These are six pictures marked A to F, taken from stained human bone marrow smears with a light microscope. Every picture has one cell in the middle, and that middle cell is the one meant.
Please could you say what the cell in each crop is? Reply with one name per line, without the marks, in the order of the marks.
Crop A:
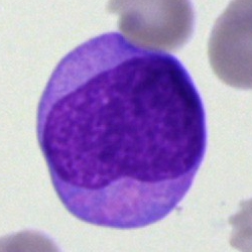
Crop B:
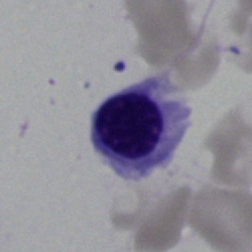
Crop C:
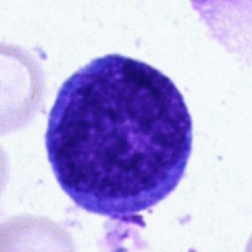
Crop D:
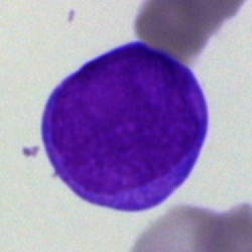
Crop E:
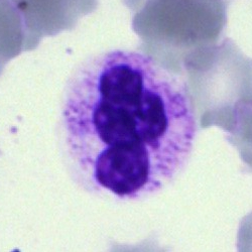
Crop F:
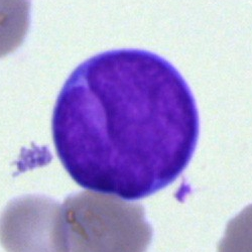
blast
erythroblast
blast
blast
segmented neutrophil
blast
